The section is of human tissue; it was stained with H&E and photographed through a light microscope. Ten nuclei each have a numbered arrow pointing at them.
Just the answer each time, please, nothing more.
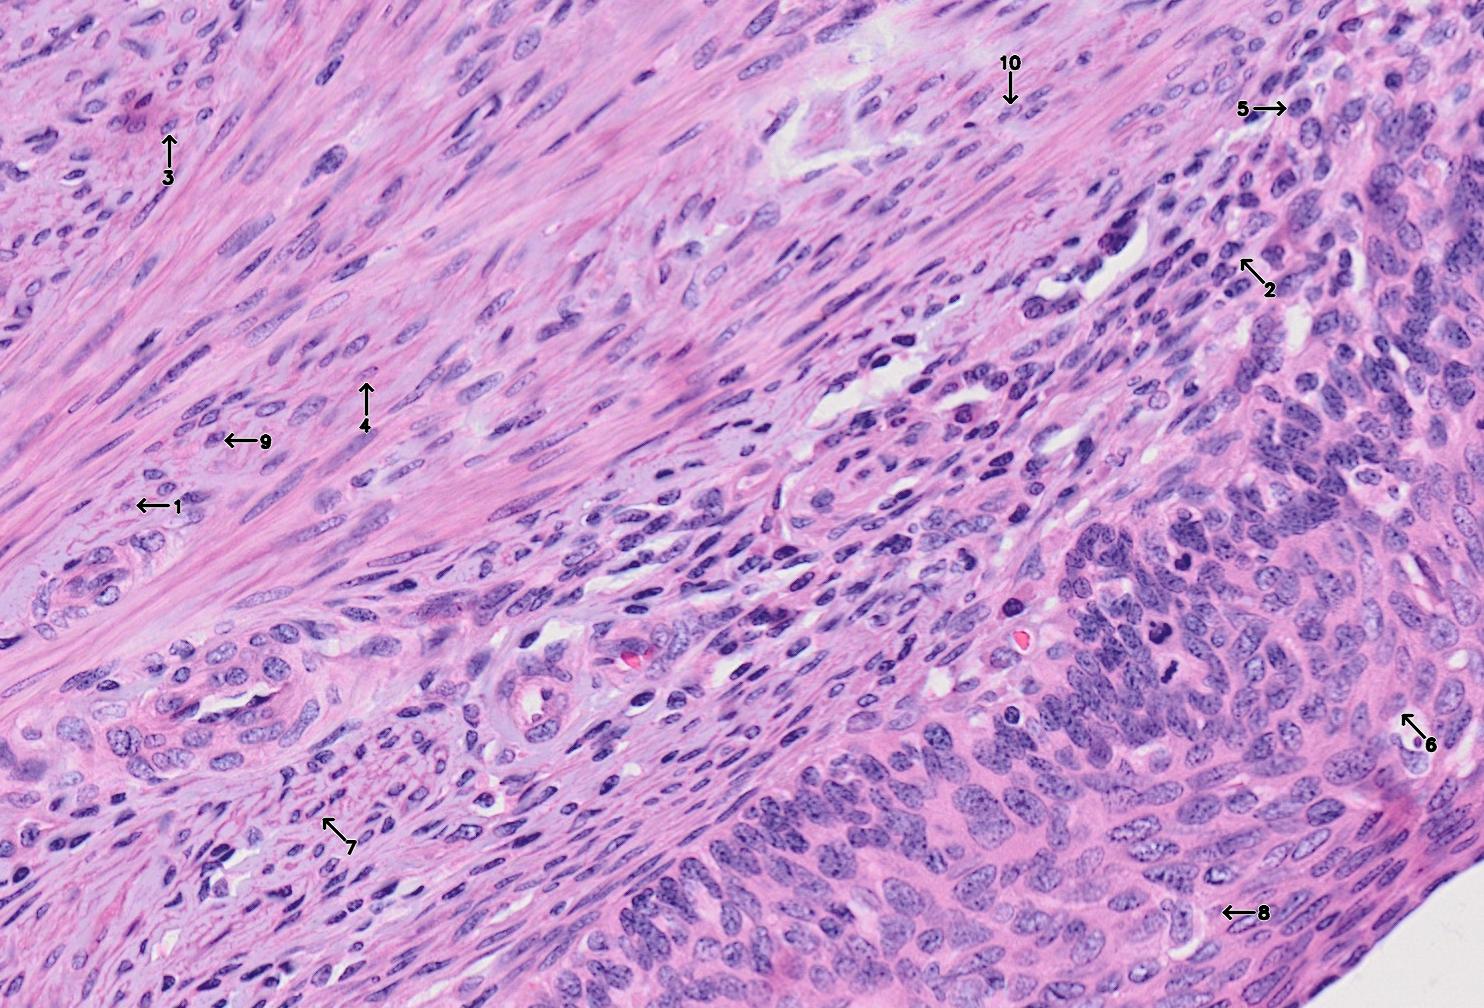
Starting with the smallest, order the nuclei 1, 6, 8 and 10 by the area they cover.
1, 8, 10, 6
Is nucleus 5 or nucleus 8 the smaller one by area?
8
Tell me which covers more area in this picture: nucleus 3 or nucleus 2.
2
